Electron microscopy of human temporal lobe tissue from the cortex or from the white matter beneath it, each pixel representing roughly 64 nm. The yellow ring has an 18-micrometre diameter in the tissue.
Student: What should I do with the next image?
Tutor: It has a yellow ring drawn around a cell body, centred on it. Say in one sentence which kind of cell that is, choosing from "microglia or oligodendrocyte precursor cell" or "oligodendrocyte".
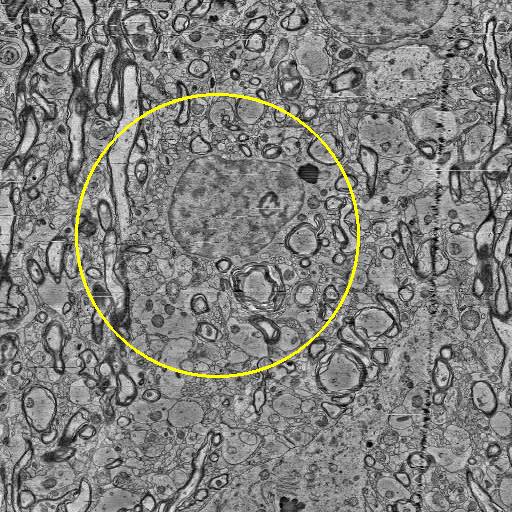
The ring's centre is occupied by an oligodendrocyte.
